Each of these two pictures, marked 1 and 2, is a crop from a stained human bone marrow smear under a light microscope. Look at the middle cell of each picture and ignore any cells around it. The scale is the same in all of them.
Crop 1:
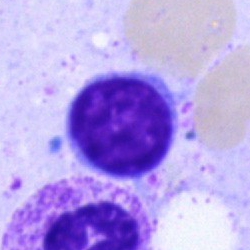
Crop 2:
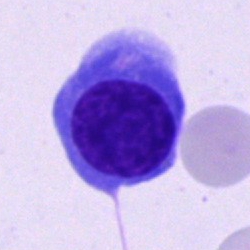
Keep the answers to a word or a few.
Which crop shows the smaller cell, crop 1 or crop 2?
1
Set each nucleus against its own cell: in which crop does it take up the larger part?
1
